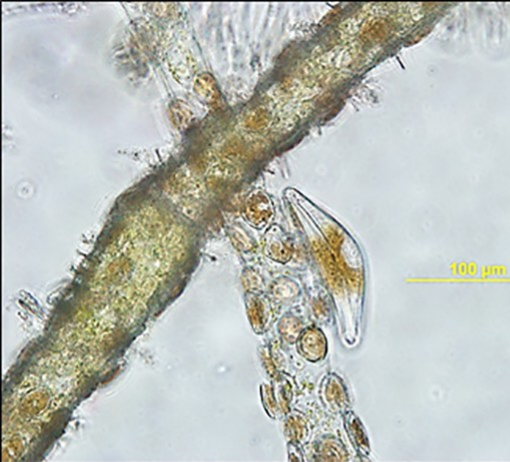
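A broad algal filament with granular yellow-green to brownish contents and a cross wall runs diagonally across the field, with a thinner filament crossing it. The thinner filament is crowded with small oval brownish diatom cells with clear walls, and a large elongated tapering diatom cell lies alongside it.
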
